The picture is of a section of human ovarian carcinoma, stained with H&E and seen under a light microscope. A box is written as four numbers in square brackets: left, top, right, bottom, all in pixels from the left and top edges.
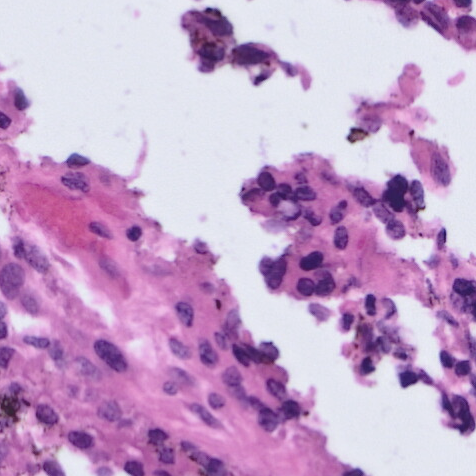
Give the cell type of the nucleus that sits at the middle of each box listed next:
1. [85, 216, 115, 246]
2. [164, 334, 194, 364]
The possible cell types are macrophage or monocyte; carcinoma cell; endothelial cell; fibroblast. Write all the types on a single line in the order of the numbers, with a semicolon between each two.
endothelial cell; macrophage or monocyte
